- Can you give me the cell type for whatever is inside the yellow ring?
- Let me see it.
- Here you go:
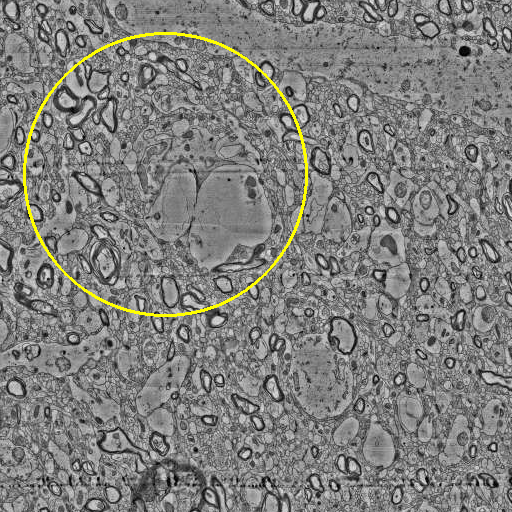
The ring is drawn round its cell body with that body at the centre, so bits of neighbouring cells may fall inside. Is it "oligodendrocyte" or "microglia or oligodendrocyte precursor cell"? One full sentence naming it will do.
The cell body in the middle of the ring in this picture belongs to a microglial cell or oligodendrocyte precursor cell.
